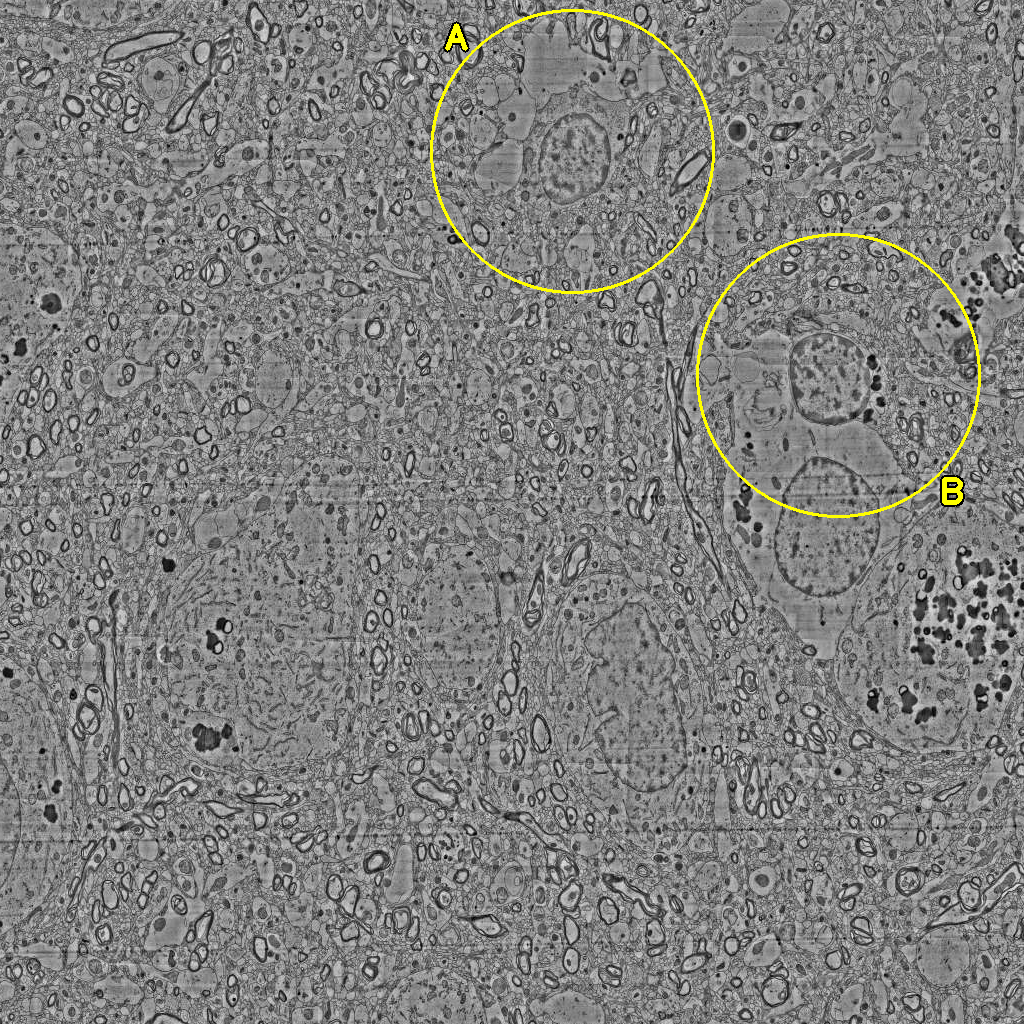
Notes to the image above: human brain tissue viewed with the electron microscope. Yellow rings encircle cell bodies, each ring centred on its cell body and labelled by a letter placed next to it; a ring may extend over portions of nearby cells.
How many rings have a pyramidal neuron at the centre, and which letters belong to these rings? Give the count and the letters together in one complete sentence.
Since no ring is centred on a pyramidal neuron, the count of such rings is zero.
